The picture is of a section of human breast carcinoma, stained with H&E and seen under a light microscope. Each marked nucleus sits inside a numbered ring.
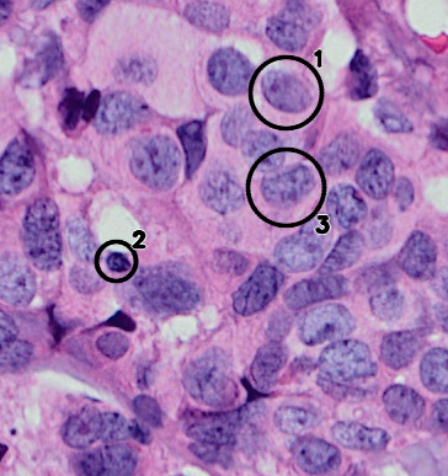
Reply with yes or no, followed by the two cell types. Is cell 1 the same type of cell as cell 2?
No, that's off: cell 1 is a carcinoma cell and cell 2 is a lymphocyte.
